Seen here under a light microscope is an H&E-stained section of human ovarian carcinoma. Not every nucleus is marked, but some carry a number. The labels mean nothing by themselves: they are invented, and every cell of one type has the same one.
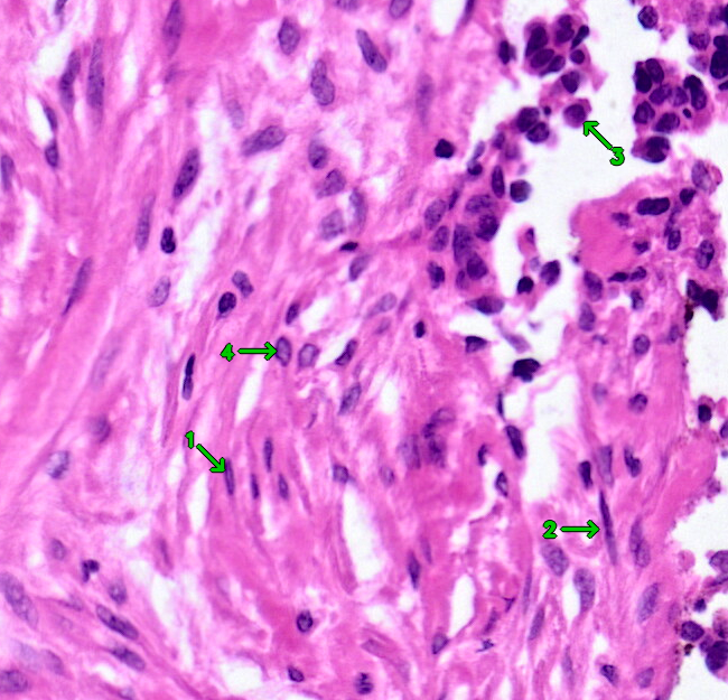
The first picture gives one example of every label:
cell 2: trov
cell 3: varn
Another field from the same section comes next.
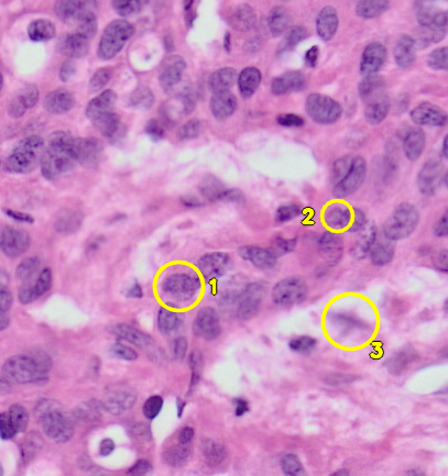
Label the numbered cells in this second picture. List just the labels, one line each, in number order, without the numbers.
varn
varn
trov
